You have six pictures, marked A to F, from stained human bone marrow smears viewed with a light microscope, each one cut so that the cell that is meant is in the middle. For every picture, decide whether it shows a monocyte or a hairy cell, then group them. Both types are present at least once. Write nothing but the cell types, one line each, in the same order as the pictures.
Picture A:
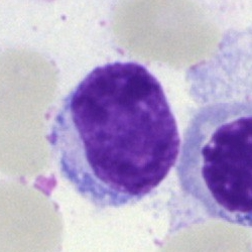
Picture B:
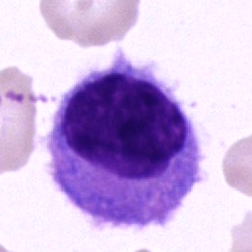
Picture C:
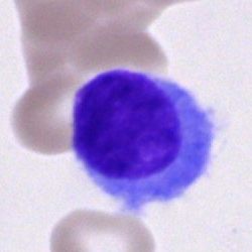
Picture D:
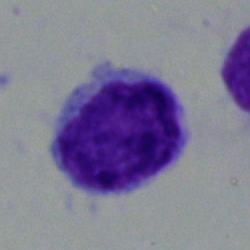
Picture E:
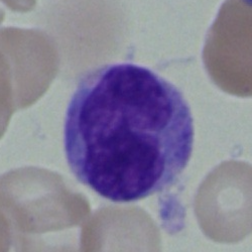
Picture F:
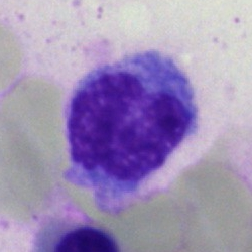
hairy cell
hairy cell
hairy cell
hairy cell
monocyte
monocyte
